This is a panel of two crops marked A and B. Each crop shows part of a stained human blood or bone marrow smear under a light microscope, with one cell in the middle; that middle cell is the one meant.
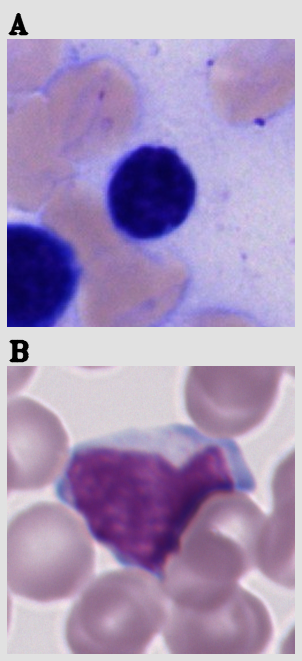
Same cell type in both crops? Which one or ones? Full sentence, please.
Yes, the first and the second crop both show lymphocytes.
